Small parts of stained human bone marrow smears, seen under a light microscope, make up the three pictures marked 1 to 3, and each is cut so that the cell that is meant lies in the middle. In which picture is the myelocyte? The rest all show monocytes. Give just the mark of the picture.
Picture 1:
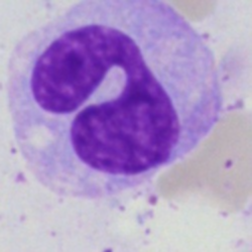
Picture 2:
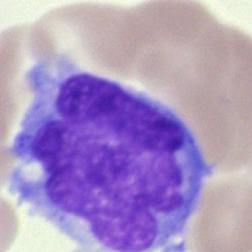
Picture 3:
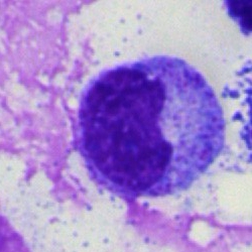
3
